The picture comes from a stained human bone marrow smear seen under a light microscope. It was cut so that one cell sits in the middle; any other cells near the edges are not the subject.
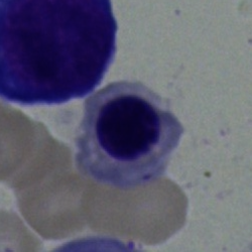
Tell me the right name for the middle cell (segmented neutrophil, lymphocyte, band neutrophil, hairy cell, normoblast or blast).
normoblast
